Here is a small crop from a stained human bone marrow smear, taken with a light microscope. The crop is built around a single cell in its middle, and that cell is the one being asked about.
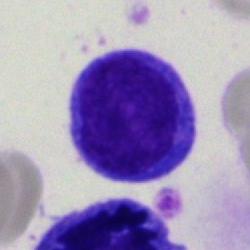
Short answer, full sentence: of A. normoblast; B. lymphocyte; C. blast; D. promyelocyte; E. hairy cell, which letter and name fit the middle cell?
Option B holds up: the cell in the middle is a lymphocyte.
